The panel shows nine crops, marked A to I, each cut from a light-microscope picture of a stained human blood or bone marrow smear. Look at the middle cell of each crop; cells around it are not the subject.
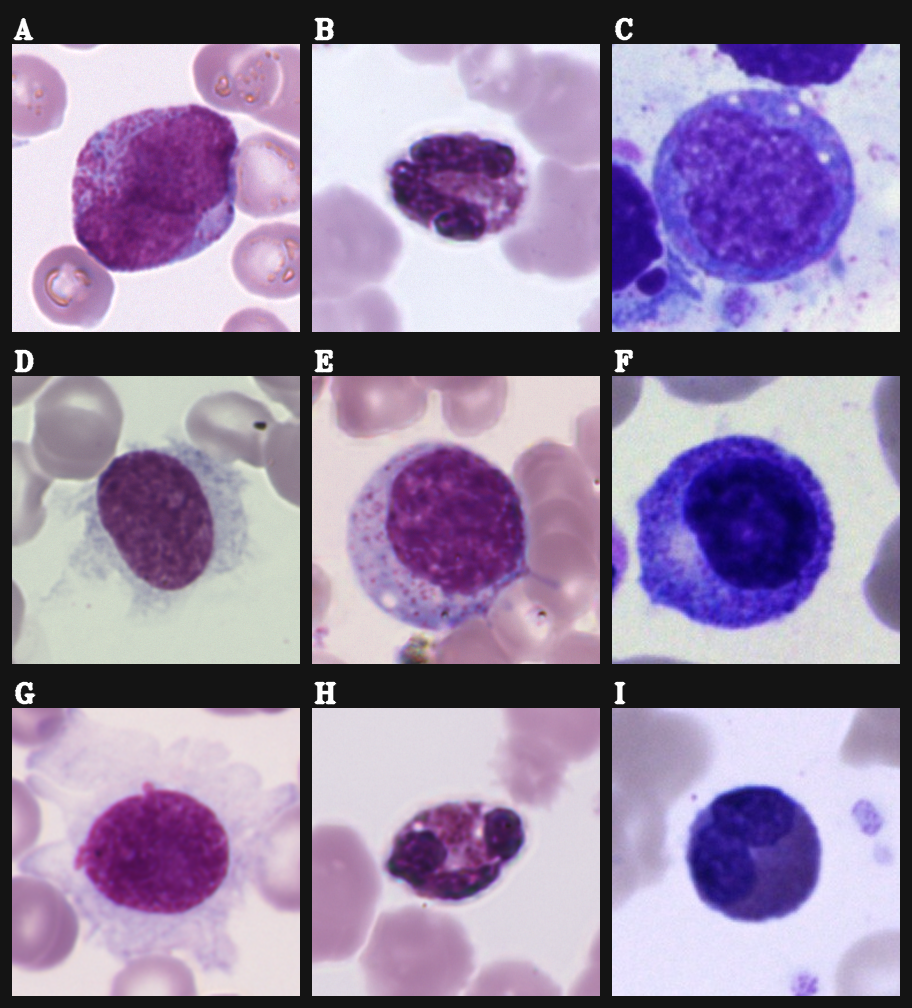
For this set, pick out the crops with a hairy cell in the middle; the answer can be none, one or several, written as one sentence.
With respect to crops D and G, the cells shown are hairy cells.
